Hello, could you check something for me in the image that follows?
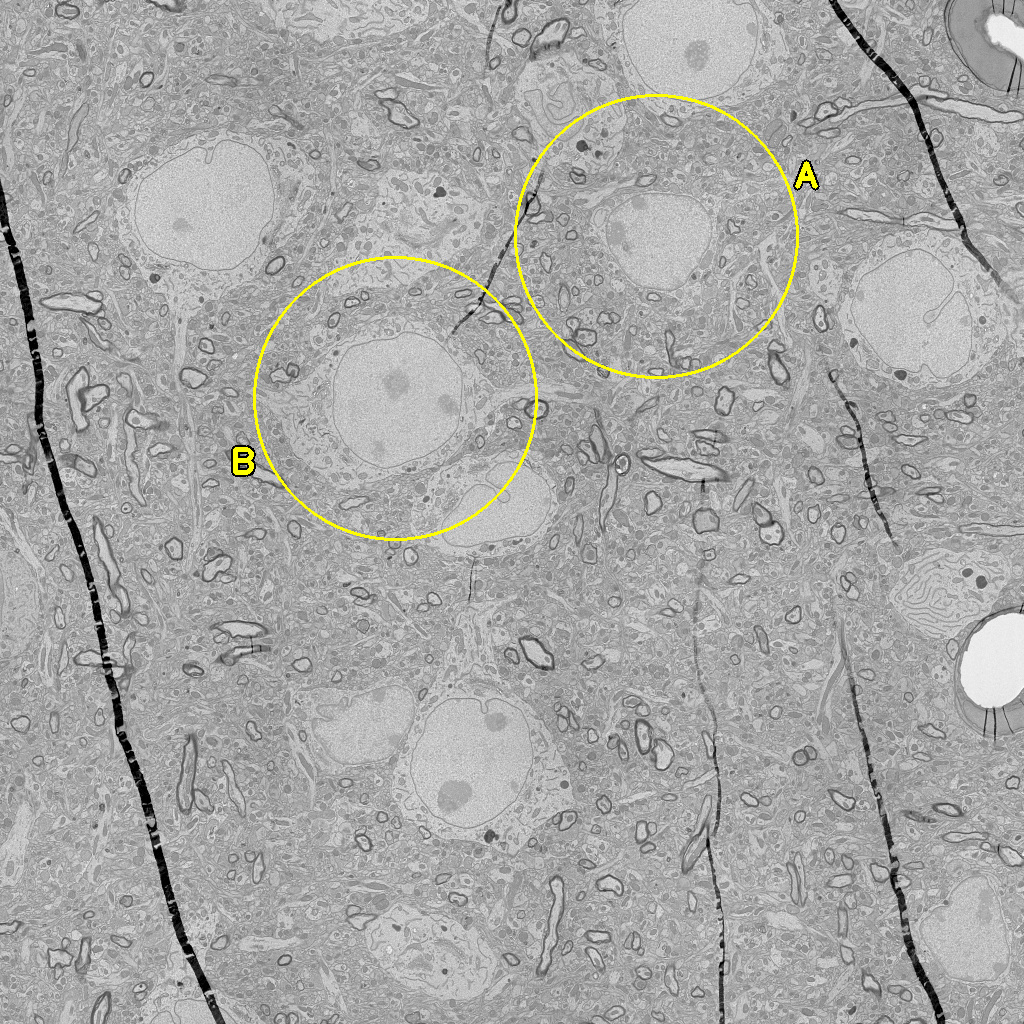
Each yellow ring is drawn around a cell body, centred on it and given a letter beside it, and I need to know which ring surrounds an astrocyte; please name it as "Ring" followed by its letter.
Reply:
Ring A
